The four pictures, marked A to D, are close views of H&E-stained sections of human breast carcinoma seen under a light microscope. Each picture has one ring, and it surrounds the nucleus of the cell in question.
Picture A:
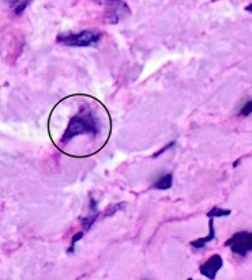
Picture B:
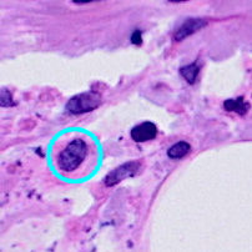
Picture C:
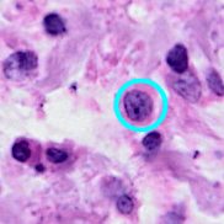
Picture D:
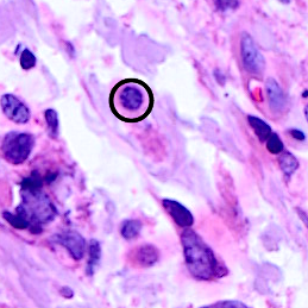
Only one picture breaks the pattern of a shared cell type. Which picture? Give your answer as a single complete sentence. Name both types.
The others show mast cells, but picture A shows a fibroblast.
